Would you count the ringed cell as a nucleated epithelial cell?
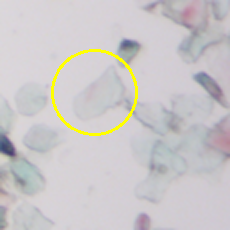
No, I would count it as a cornified epithelial cell.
